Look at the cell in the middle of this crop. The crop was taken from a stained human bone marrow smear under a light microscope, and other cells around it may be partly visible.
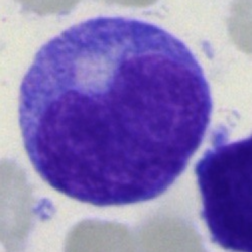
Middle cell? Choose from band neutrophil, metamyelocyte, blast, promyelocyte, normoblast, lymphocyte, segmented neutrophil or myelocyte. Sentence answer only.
The cell in the middle of the field of view is a blast.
